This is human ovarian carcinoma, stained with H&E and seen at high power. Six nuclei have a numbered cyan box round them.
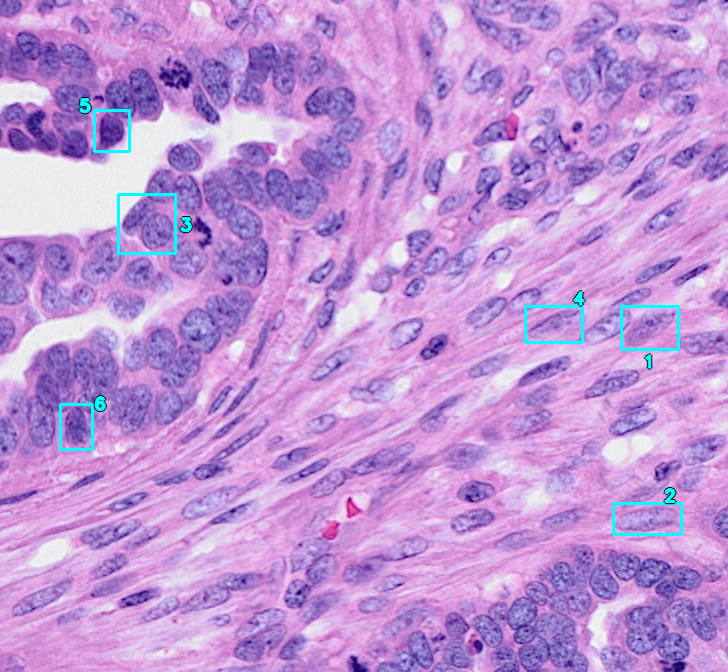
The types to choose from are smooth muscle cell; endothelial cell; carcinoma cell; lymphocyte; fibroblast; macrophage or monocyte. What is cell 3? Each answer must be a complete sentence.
Nucleus 3 in this section belongs to a carcinoma cell.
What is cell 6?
Cell 6 in the field of view is a carcinoma cell.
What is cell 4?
The cell numbered 4 has been identified as a fibroblast.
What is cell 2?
The expected answer is that cell 2 is a fibroblast.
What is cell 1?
The cell that goes by number 1 is a fibroblast.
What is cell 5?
The cell tagged with 5 in this tissue section is a carcinoma cell.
